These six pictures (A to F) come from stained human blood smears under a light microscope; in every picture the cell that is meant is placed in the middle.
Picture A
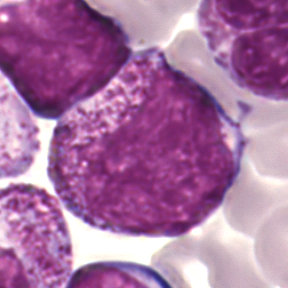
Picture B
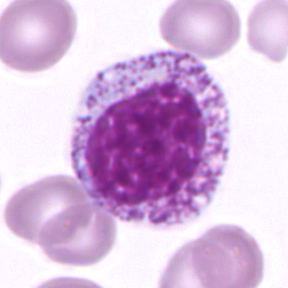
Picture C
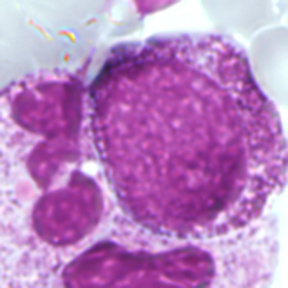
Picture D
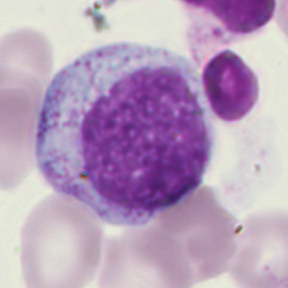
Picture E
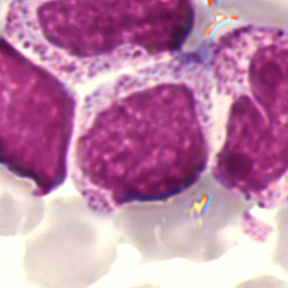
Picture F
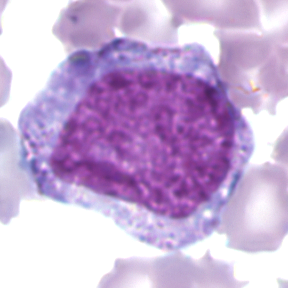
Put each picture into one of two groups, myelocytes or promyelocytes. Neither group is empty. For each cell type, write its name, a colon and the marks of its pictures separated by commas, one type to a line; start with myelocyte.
myelocyte: B, E
promyelocyte: A, C, D, F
